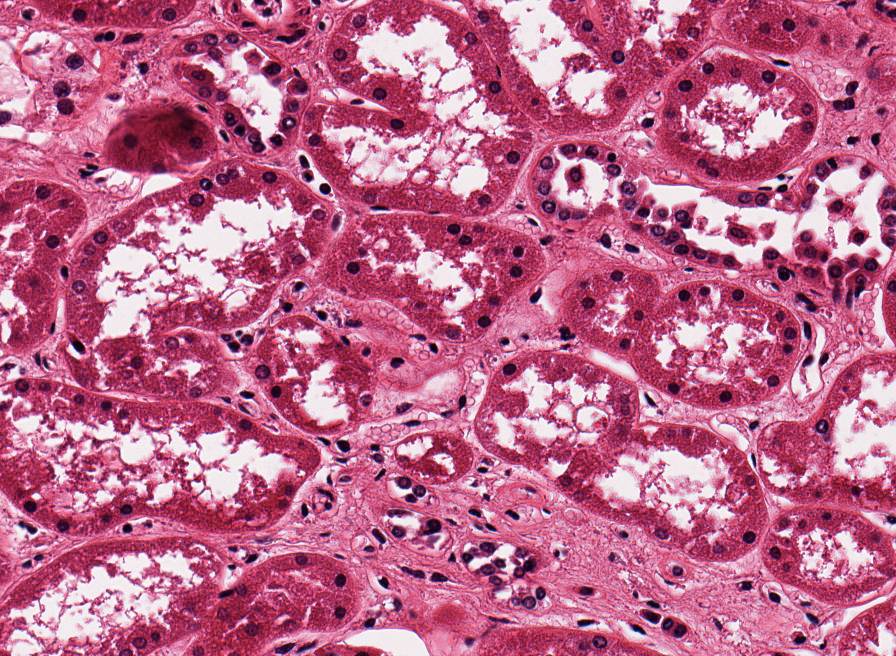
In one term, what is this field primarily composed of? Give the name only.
cortical labyrinth of the kidney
